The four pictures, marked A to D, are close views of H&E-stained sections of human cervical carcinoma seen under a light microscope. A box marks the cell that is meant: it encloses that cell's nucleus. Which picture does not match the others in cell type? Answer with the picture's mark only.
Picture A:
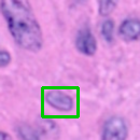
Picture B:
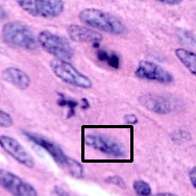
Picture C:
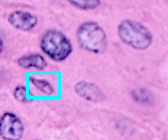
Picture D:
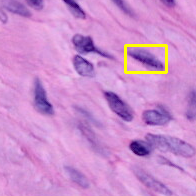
D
